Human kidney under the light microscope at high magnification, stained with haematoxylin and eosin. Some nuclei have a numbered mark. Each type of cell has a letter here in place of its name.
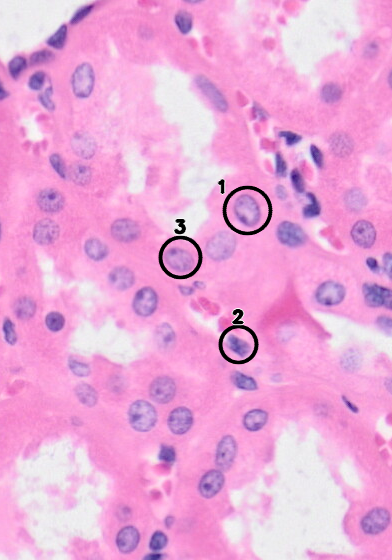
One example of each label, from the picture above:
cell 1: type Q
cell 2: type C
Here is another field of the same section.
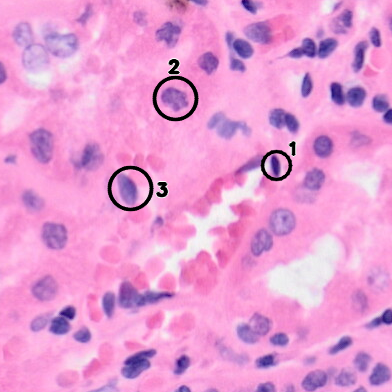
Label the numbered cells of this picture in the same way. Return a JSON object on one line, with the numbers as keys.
{"1": "type C", "2": "type Q", "3": "type C"}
